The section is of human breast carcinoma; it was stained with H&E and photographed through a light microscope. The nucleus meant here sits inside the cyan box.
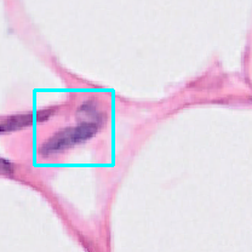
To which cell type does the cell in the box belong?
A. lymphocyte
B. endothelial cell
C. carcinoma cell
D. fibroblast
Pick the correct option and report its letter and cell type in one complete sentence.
Under option B, the cell in the box is an endothelial cell, which is the correct identification.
